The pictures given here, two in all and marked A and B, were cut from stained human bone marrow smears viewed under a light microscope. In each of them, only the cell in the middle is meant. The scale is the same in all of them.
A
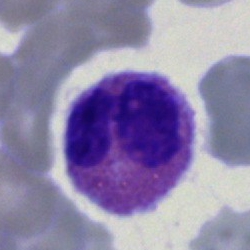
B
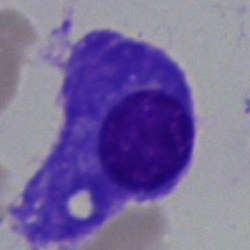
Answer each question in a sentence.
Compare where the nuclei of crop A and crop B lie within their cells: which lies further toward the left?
It is the nucleus in crop A that lies further toward the left of its cell.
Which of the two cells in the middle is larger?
The cell in crop B is larger, with about 1.5 times the area of the one in crop A.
